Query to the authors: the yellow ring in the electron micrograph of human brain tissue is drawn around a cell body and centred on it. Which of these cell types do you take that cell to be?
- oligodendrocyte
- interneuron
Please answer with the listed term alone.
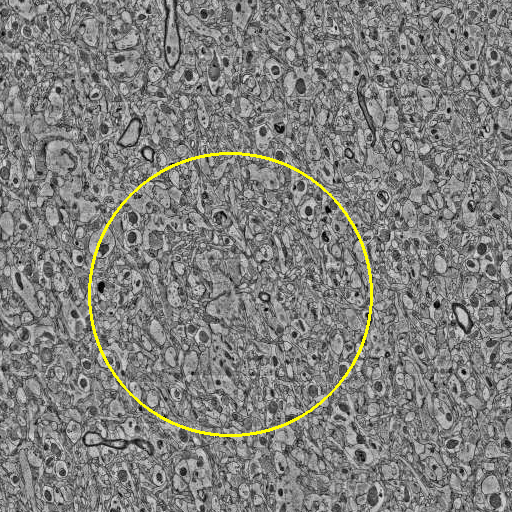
interneuron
